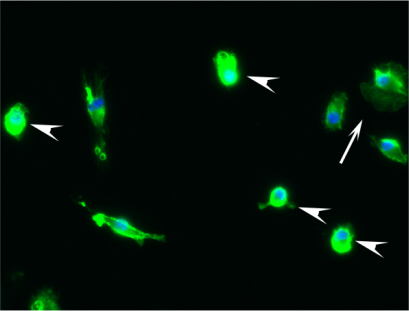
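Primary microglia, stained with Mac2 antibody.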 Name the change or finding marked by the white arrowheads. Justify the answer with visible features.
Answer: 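The cells at the arrowheads are small and rounded. They have almost no processes and bright compact green staining around the nucleus. The answer: cell shrinkage.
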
